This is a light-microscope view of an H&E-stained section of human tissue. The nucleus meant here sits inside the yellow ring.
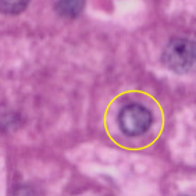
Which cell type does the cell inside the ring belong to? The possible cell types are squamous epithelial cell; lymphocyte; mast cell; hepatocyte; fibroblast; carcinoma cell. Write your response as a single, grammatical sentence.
Considered by cell type, the cell inside the ring is a hepatocyte.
